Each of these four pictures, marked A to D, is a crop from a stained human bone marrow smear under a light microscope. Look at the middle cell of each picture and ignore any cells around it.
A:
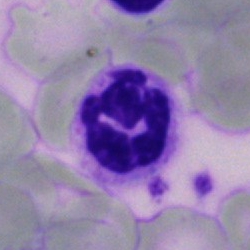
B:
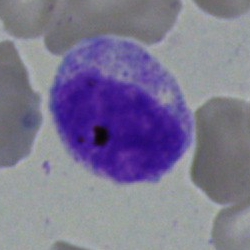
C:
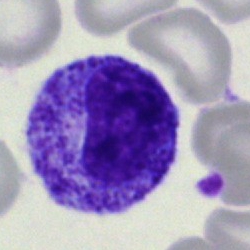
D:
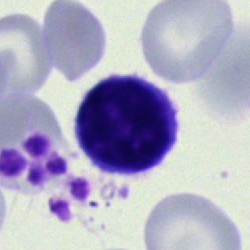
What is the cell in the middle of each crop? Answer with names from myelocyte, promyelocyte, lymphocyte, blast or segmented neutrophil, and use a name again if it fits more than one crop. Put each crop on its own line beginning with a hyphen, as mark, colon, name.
- A: segmented neutrophil
- B: myelocyte
- C: myelocyte
- D: lymphocyte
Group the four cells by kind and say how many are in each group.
myelocyte: 2
segmented neutrophil: 1
lymphocyte: 1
